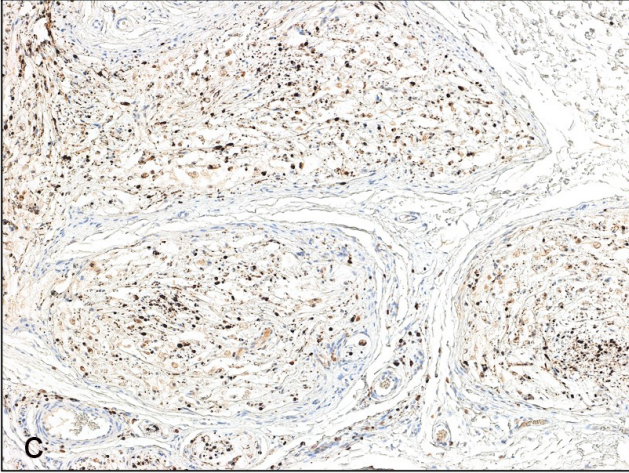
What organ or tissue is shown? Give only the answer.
plexiform neurofibroma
